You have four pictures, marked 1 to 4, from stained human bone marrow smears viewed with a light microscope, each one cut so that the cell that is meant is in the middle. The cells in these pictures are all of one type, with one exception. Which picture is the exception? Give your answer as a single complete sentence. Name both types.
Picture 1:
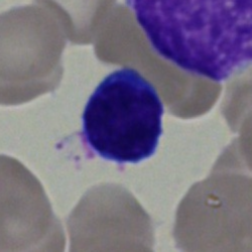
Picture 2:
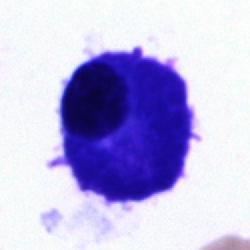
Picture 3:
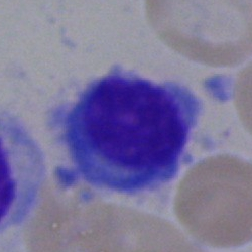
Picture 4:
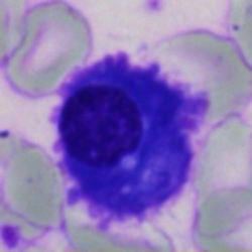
Picture 1 differs, because its cell is a lymphocyte and the rest are plasma cells.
